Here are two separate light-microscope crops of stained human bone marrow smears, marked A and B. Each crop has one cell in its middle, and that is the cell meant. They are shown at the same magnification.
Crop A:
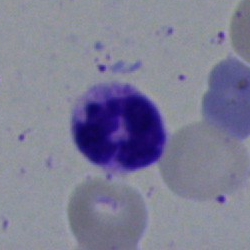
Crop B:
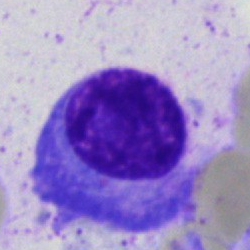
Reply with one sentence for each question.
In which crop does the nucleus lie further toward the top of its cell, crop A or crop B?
The nucleus in crop B lies further toward the top of its cell.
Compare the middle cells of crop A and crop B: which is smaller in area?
Smaller is the cell in crop A, and the other is about 3 times as large in area.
